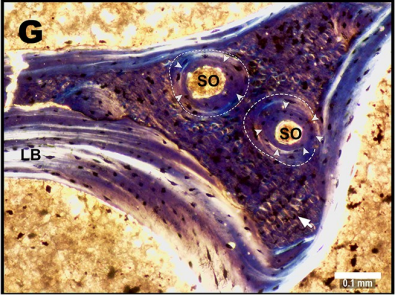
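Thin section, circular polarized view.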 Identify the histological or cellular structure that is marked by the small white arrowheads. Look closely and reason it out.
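Small arrowheads ring two small canals within the strut. They mark a thin line around each canal inside the dotted outline.
Hence: resorption lines.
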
